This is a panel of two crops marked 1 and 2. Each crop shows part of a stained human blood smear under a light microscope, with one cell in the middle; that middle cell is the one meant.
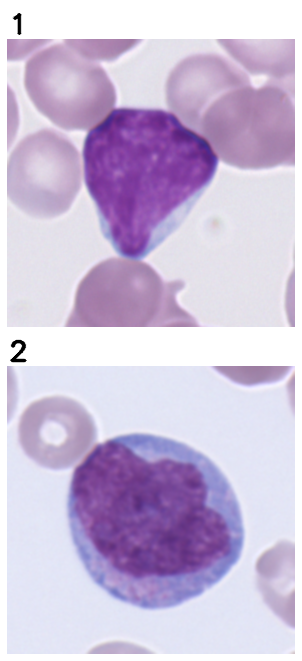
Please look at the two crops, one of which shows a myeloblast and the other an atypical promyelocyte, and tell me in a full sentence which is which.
Crop 1 presents a myeloblast, and crop 2 presents an atypical promyelocyte.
